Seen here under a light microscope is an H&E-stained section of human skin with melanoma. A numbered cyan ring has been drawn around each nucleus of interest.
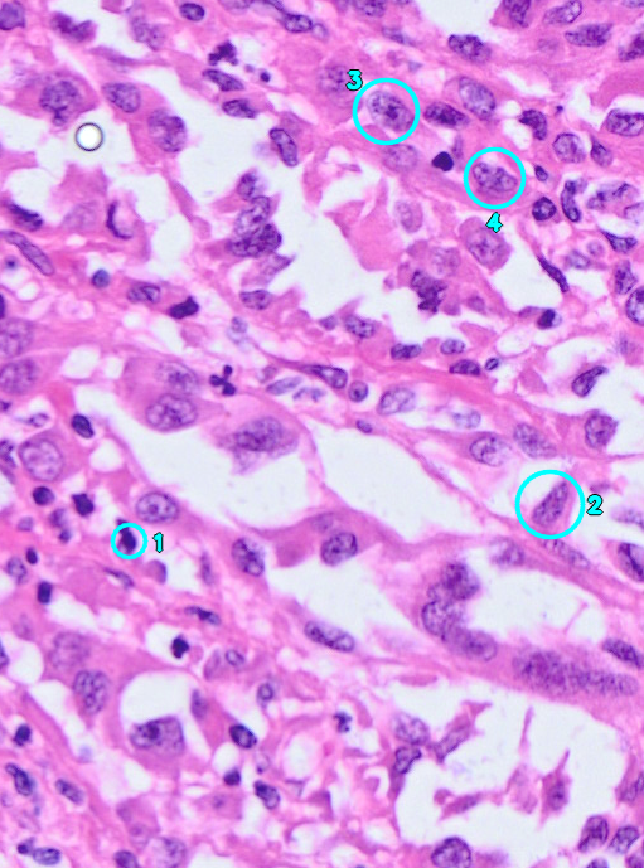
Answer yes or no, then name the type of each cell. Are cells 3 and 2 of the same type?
Yes, along with cell 3, cell 2 is also among the melanoma cells.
